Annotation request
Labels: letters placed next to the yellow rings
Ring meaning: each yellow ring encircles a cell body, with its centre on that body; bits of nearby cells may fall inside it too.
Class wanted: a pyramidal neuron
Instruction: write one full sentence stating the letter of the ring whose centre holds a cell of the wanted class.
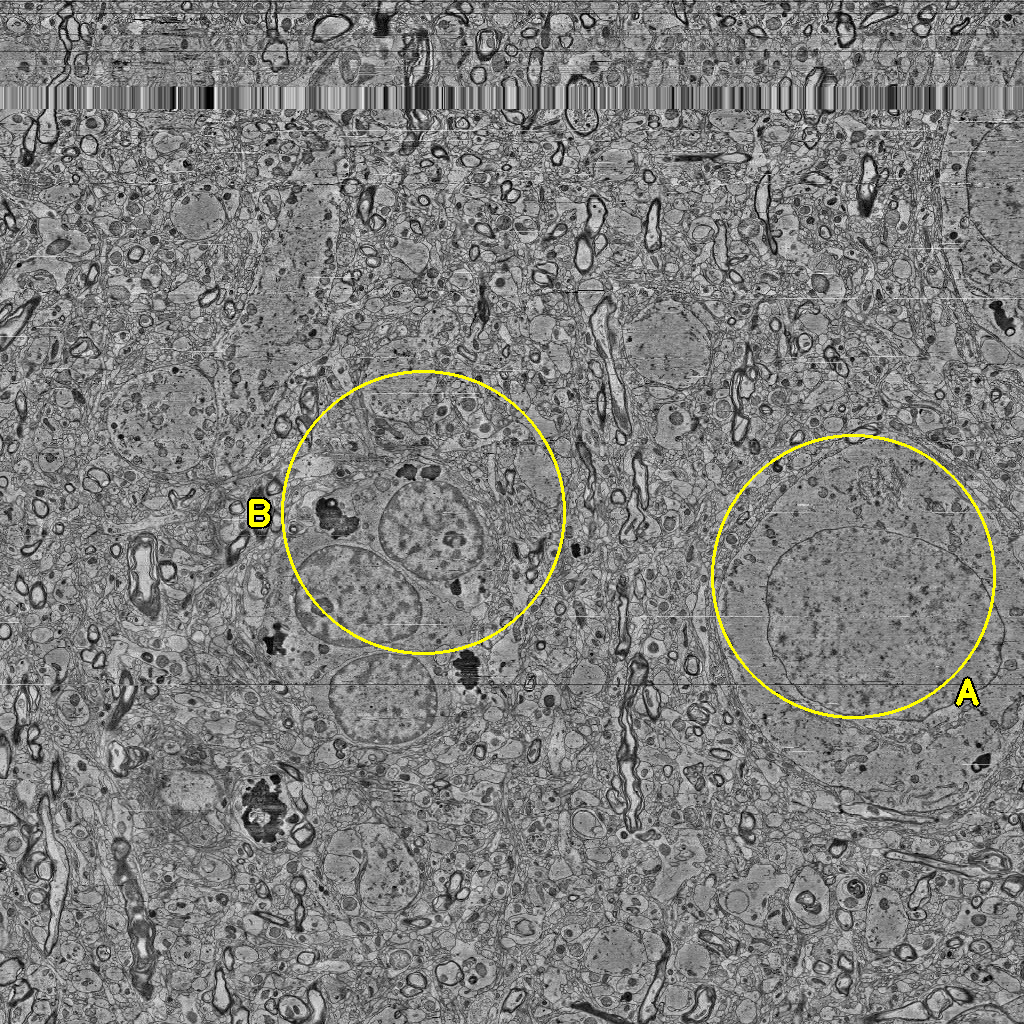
For this annotation, a cell of that kind sits at the centre of ring A.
